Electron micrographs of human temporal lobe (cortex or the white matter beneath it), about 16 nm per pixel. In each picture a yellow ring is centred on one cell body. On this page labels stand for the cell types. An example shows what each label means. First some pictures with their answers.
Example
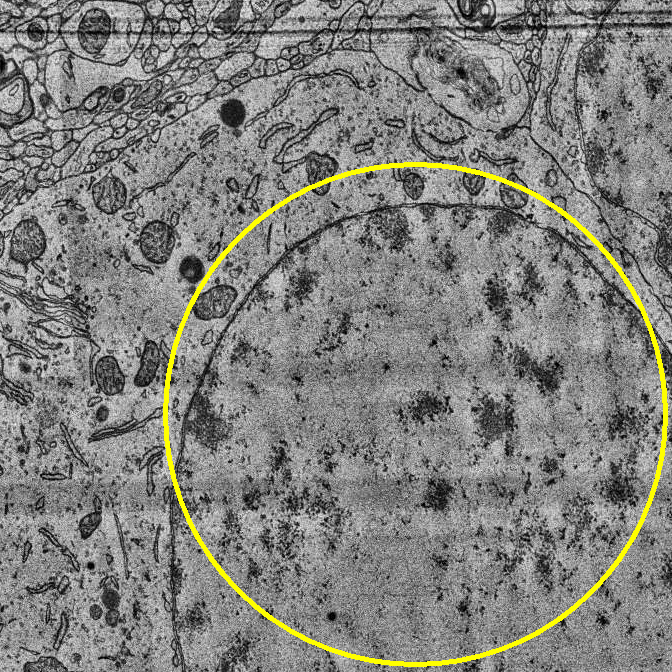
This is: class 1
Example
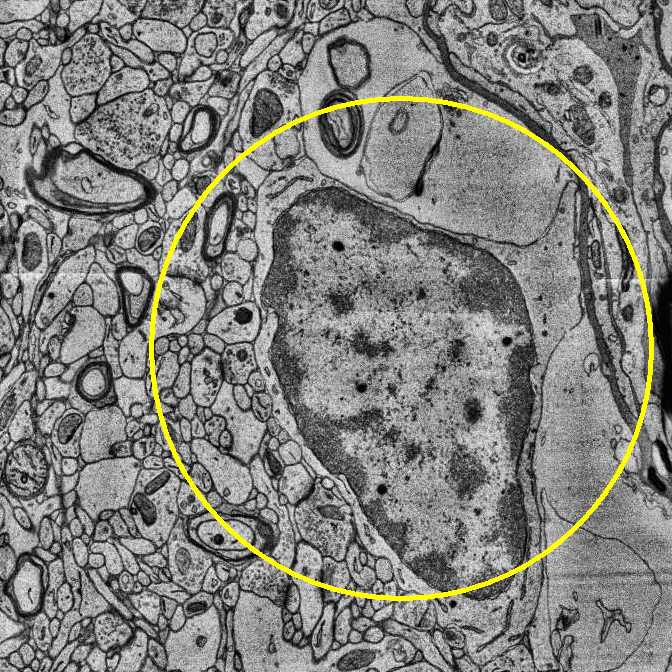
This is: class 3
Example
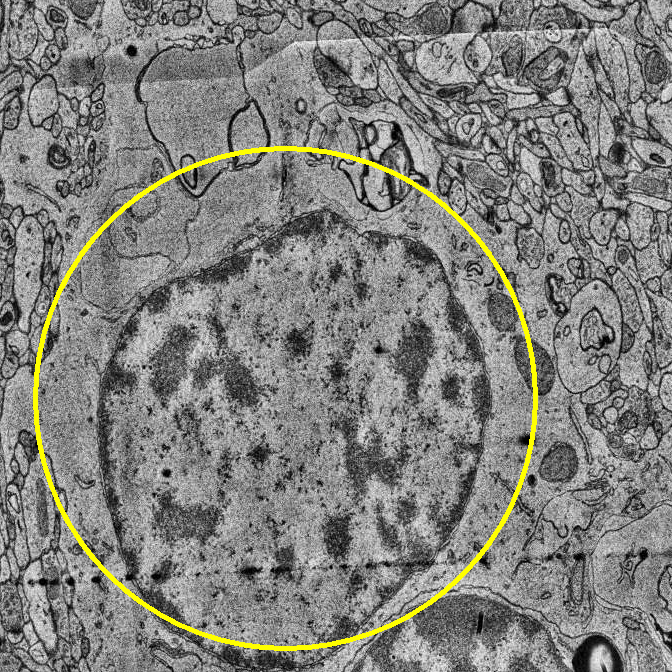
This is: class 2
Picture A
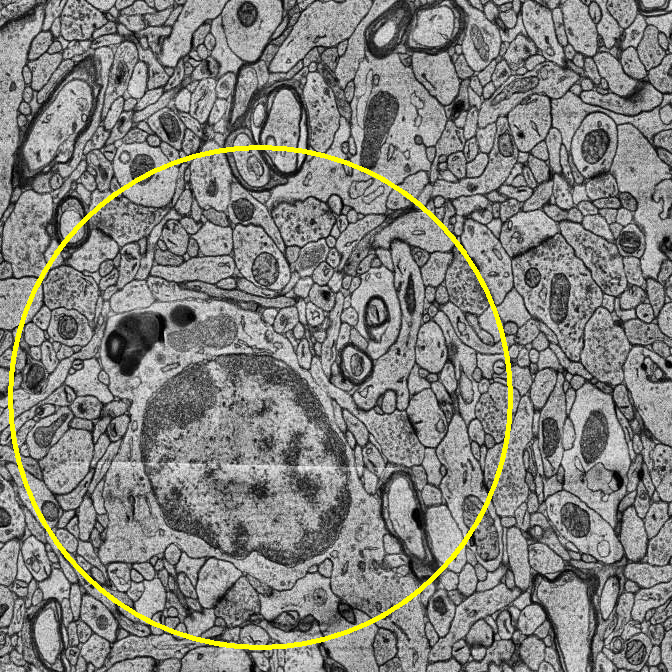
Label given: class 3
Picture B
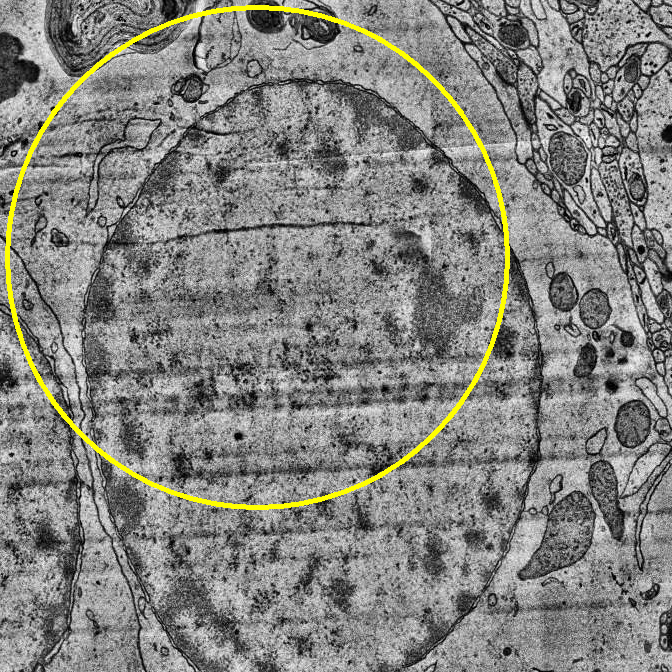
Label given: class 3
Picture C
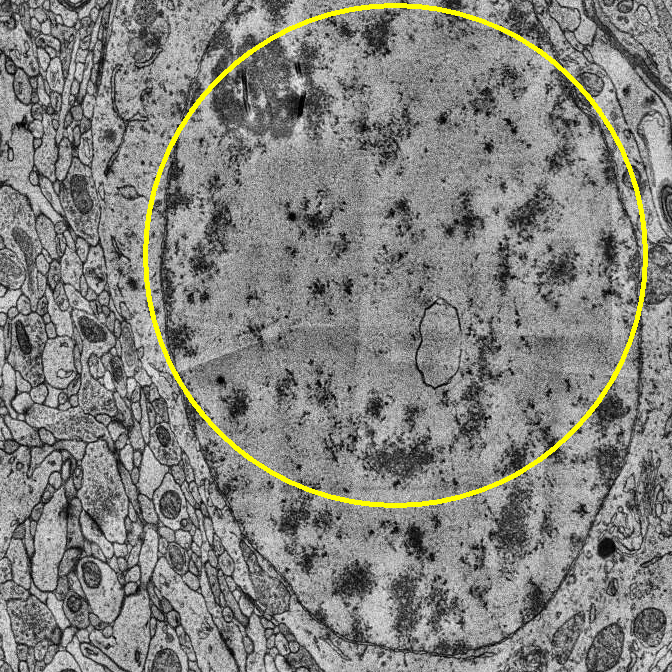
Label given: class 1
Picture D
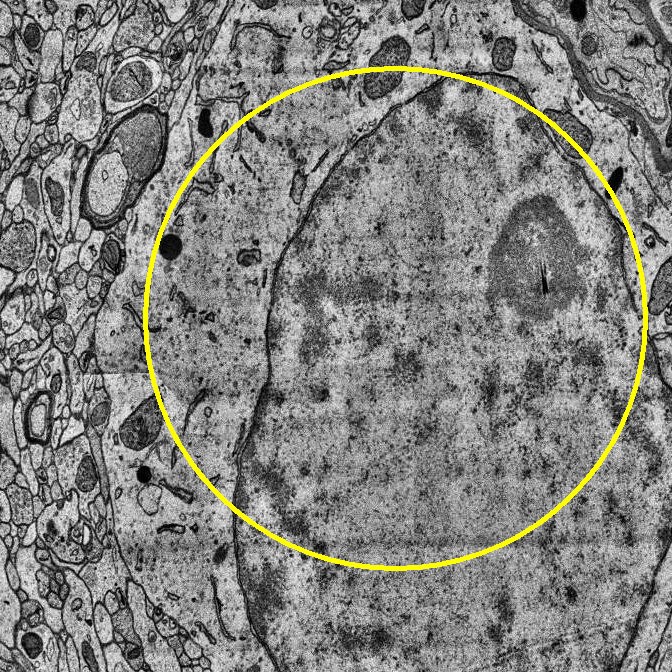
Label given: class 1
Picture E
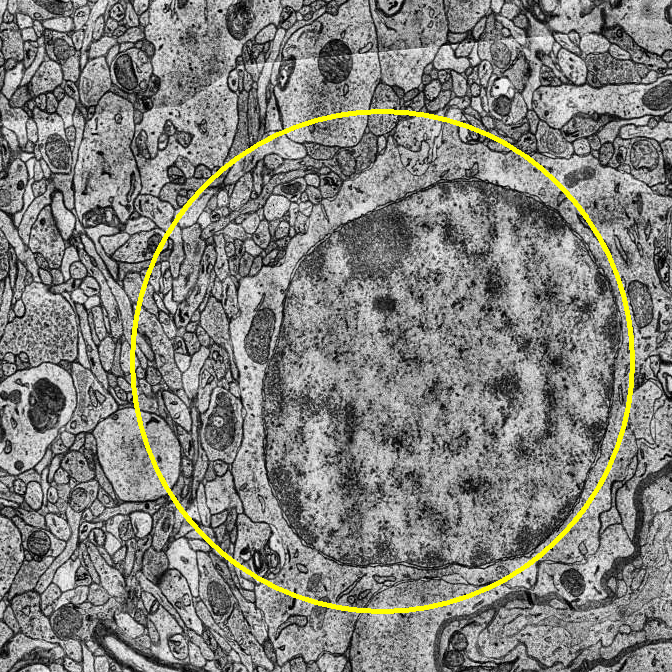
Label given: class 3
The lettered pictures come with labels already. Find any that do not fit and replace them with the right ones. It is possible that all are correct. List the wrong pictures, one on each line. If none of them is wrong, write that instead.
B: change class 3 to class 2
